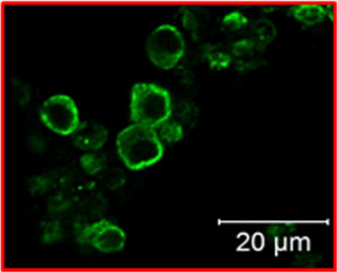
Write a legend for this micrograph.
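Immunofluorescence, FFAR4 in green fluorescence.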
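The green fluorescence is brightest as a ring along the edge of each cell, with fainter, finely granular green inside the cytoplasm. The centres of the cells are darker, where the nucleus lies unstained in this channel.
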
